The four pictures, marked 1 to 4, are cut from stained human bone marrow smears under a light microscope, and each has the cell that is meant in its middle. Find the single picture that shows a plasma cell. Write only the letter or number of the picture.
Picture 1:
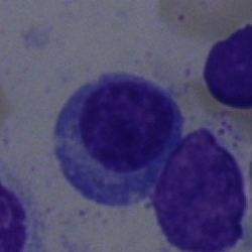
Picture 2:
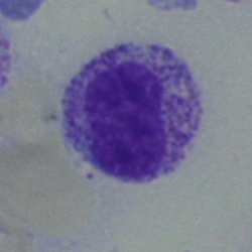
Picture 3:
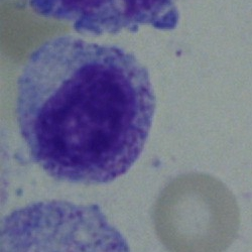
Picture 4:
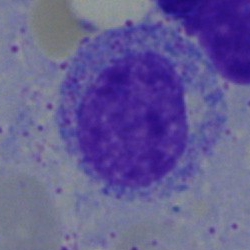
1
